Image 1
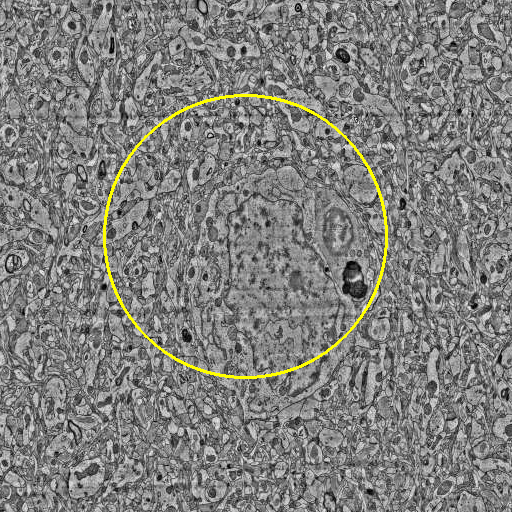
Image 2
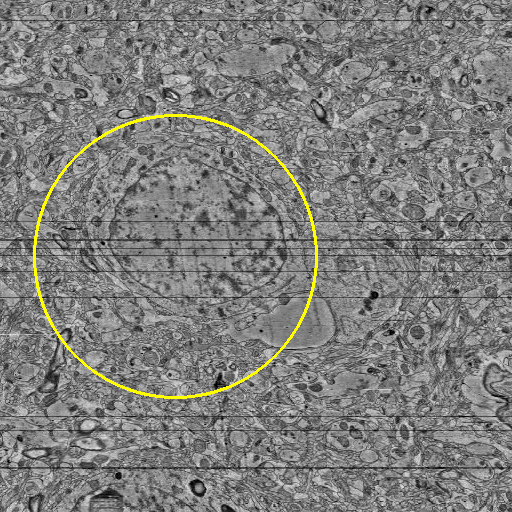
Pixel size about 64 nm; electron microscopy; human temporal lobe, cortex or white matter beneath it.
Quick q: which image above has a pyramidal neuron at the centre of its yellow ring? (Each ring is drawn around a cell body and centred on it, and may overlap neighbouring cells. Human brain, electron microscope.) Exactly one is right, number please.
2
